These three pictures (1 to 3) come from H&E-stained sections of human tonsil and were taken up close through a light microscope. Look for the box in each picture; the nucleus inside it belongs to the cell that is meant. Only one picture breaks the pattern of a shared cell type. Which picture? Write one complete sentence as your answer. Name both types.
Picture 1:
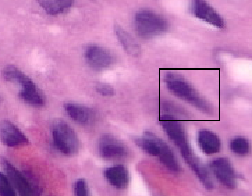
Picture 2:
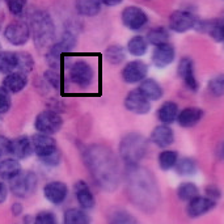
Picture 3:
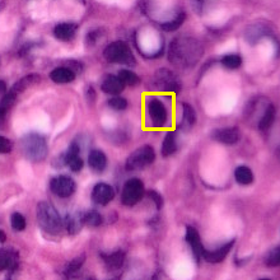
Picture 2 is the odd one out: it shows an endothelial cell, while the others show squamous epithelial cells.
